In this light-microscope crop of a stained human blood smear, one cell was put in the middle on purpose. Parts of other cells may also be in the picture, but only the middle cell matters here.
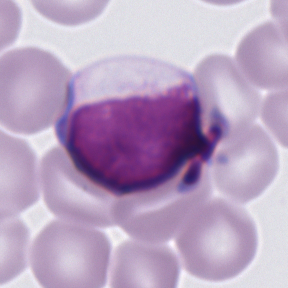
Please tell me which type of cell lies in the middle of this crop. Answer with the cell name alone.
large granular lymphocyte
